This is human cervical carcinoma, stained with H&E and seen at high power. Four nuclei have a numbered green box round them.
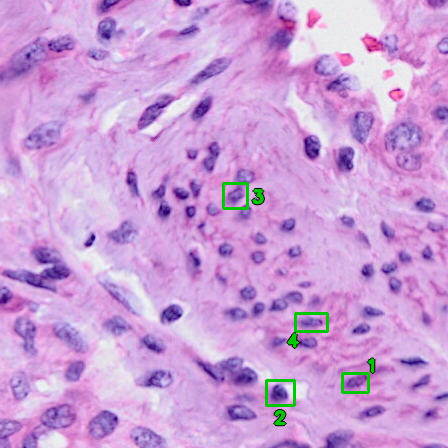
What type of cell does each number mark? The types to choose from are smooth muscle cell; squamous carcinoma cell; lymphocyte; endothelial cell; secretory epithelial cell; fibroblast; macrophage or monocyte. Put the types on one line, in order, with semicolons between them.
smooth muscle cell; lymphocyte; smooth muscle cell; smooth muscle cell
